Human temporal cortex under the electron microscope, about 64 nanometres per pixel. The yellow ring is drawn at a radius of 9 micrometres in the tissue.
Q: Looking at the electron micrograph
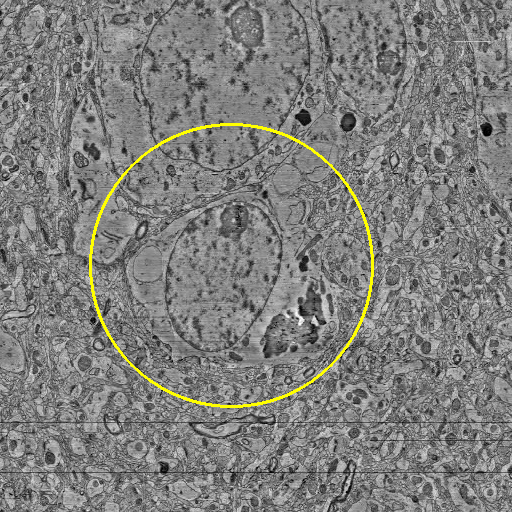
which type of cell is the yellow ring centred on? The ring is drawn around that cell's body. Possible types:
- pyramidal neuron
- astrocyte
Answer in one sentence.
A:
The yellow ring is centred on an astrocyte.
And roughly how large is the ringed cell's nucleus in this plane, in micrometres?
In this plane, about 10 micrometres in length and 7 in width.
